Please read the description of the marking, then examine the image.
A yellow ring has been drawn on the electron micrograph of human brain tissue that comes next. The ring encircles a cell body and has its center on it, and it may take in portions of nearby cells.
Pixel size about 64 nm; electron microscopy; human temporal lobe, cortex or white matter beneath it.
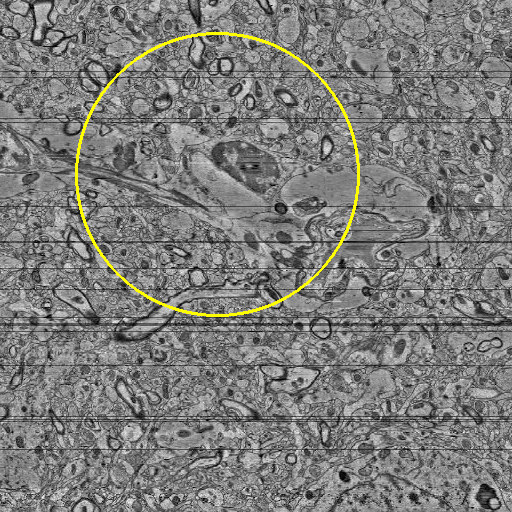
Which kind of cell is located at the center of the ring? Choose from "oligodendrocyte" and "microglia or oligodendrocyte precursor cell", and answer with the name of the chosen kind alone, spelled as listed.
microglia or oligodendrocyte precursor cell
